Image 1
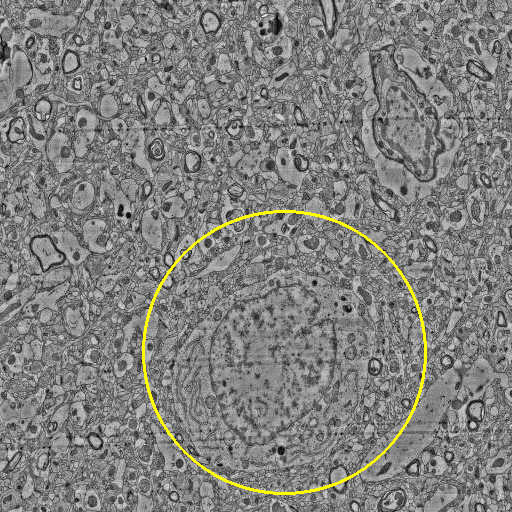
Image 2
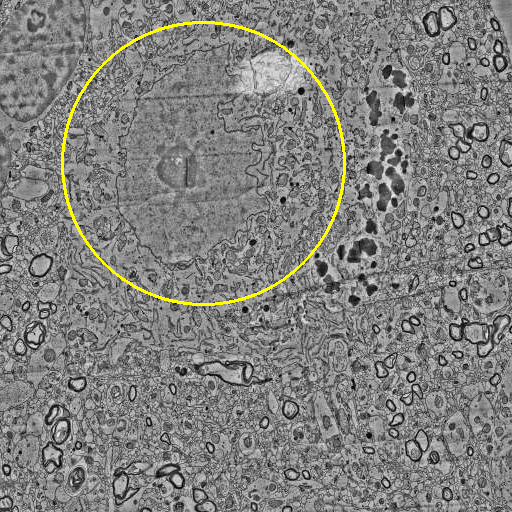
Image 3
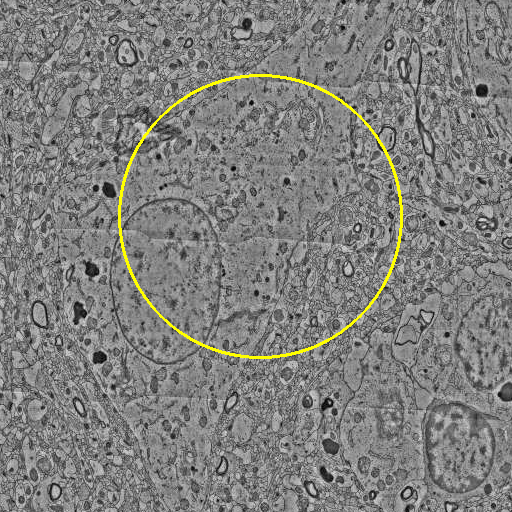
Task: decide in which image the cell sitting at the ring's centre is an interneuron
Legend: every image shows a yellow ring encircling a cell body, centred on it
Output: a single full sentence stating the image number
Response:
In image 1, the cell at the middle of the ring is the match.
